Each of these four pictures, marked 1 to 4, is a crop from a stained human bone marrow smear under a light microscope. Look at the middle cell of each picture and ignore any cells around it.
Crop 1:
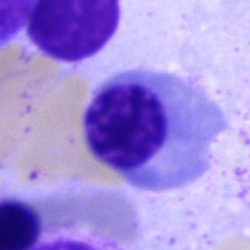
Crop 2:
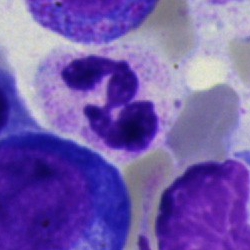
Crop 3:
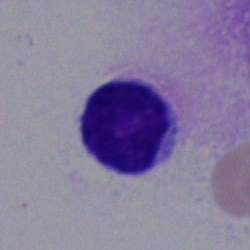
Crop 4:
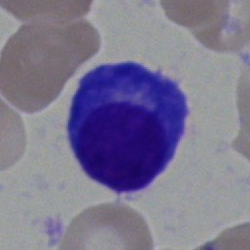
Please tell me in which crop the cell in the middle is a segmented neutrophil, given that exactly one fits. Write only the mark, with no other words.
2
